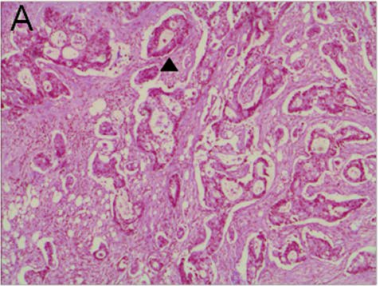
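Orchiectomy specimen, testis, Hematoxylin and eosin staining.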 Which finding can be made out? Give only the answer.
adenocarcinoma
